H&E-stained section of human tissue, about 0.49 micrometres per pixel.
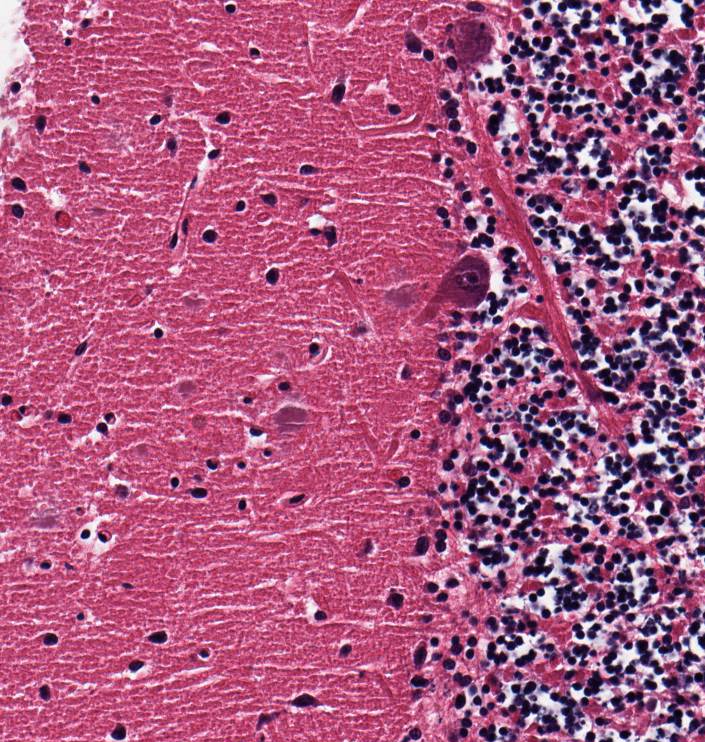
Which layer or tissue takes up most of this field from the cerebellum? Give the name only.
molecular layer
